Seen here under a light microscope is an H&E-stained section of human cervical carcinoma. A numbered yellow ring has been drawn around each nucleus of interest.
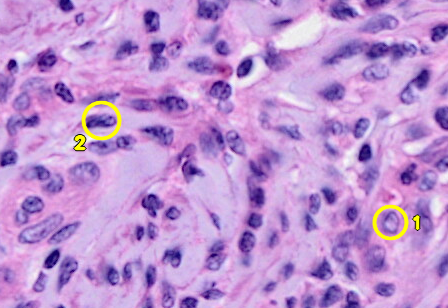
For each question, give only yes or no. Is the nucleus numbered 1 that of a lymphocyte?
no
